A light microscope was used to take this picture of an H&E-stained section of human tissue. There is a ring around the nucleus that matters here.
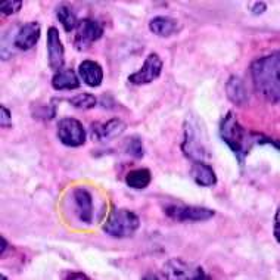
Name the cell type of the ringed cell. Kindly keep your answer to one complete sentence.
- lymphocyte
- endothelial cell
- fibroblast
Right, so the ringed cell is a lymphocyte, to answer that.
